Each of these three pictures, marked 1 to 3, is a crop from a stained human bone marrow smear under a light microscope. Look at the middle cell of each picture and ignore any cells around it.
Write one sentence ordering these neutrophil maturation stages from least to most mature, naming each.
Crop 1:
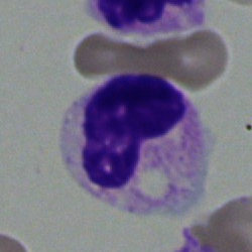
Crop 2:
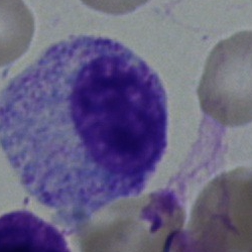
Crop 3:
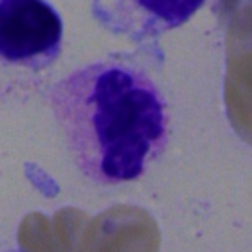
Ranked from the least mature cell to the most mature, they are crop 2 (a myelocyte), crop 1 (a band neutrophil) and crop 3 (a segmented neutrophil).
